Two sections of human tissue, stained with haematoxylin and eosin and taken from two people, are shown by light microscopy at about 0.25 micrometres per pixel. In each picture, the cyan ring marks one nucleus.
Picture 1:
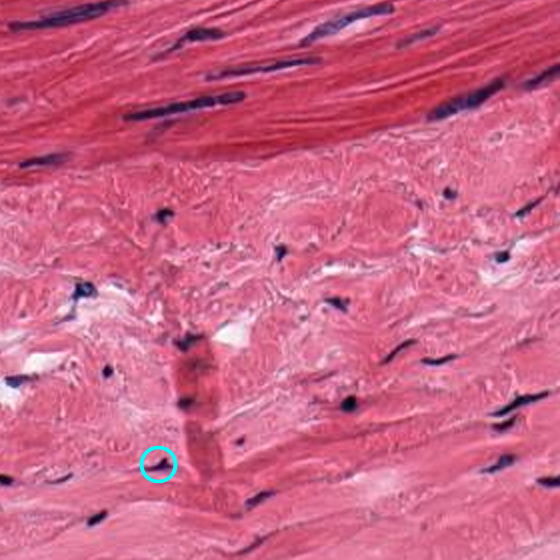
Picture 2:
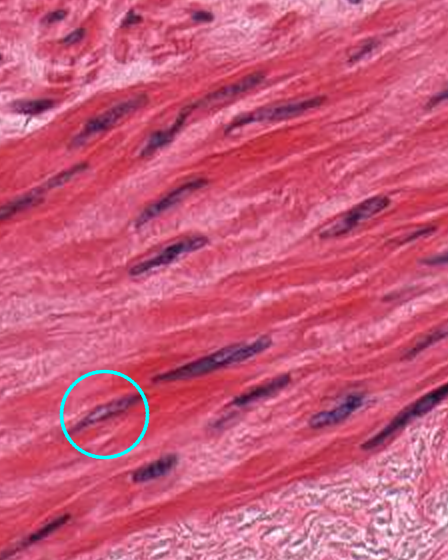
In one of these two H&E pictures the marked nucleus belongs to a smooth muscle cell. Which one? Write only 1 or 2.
2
